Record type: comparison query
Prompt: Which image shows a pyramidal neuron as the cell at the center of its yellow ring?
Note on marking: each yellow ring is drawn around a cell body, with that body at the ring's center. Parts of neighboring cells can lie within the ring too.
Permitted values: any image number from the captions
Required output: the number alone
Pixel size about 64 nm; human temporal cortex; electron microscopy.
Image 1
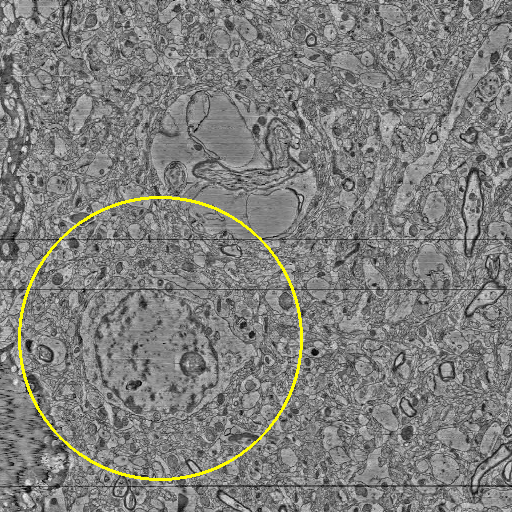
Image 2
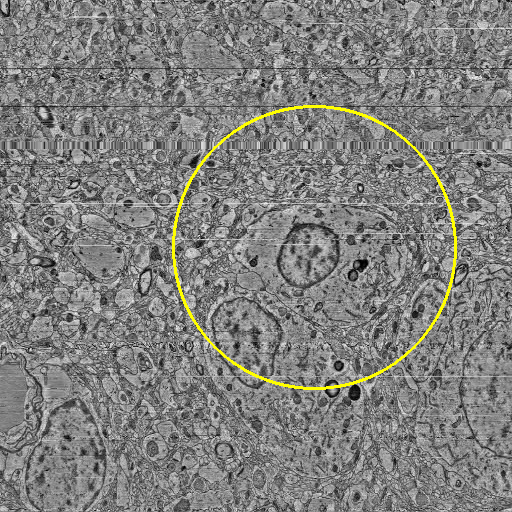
2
